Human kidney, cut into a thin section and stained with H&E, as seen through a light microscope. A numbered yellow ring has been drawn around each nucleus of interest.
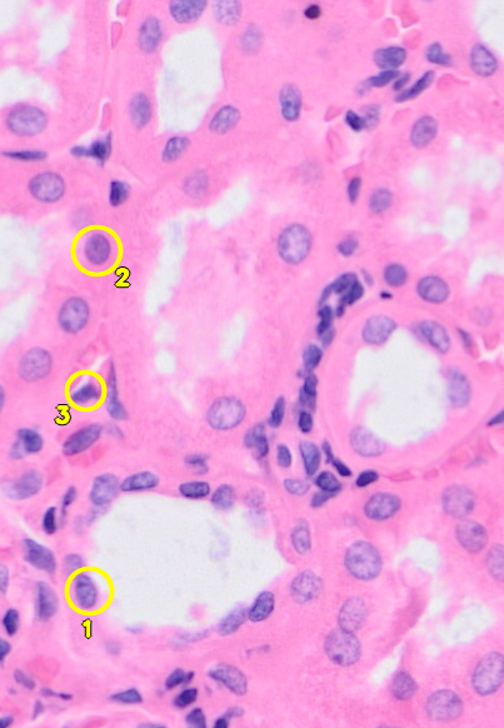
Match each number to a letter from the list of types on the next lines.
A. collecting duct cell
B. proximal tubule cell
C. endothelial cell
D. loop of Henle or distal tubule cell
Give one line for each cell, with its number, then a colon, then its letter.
1: D
2: B
3: C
